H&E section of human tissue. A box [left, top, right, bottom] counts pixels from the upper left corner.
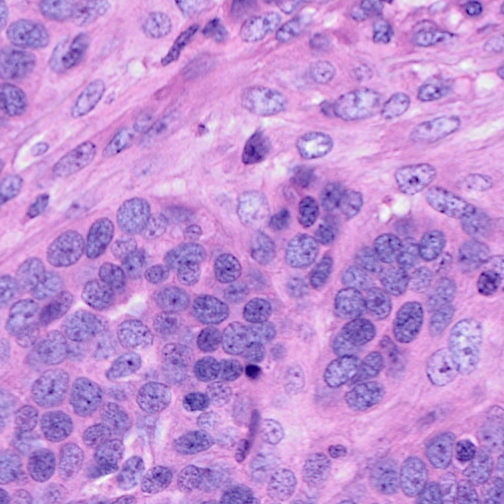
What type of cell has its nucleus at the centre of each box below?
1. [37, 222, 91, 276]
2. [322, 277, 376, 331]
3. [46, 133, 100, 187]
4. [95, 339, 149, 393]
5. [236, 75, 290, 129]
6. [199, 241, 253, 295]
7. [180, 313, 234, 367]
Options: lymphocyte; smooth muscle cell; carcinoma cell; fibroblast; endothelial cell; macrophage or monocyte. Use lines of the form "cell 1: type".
cell 1: carcinoma cell
cell 2: carcinoma cell
cell 3: fibroblast
cell 4: macrophage or monocyte
cell 5: fibroblast
cell 6: carcinoma cell
cell 7: carcinoma cell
